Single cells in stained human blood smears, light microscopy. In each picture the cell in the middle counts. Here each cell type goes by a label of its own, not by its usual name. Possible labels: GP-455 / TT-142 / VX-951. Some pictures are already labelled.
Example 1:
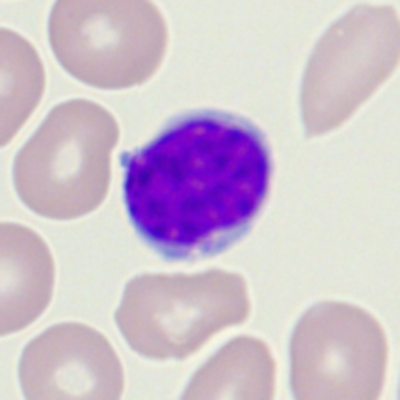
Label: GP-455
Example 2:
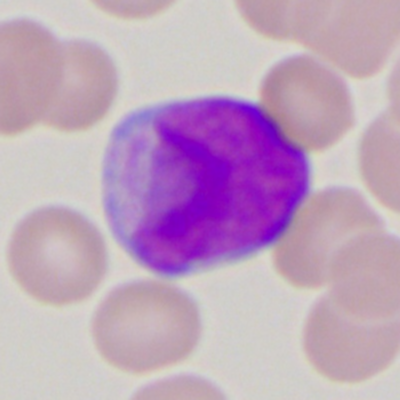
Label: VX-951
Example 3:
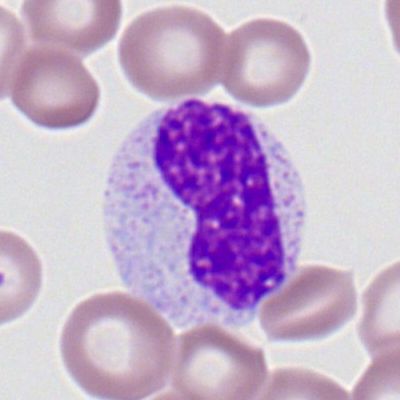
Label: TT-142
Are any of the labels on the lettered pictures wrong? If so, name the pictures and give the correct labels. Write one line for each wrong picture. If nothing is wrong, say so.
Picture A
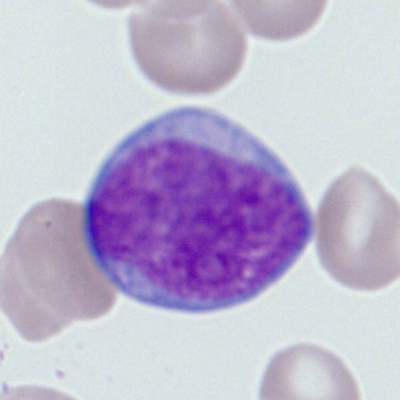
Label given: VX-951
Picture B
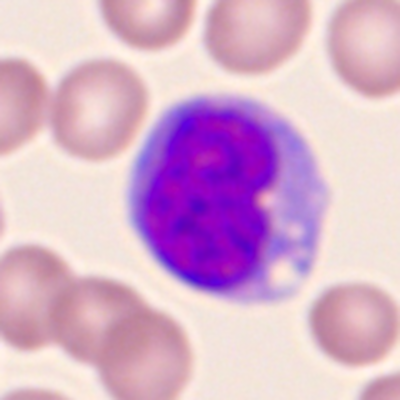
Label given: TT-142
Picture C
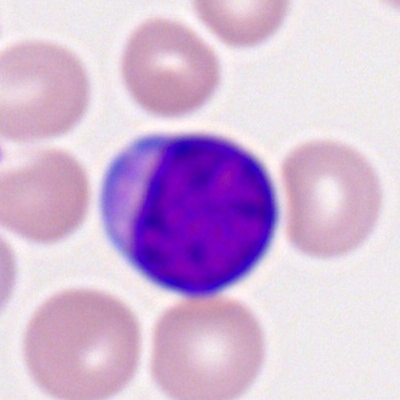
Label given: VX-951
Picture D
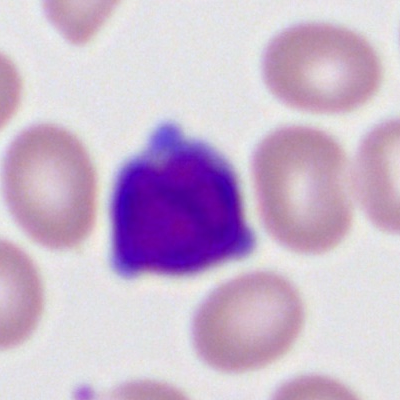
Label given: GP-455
All correct.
